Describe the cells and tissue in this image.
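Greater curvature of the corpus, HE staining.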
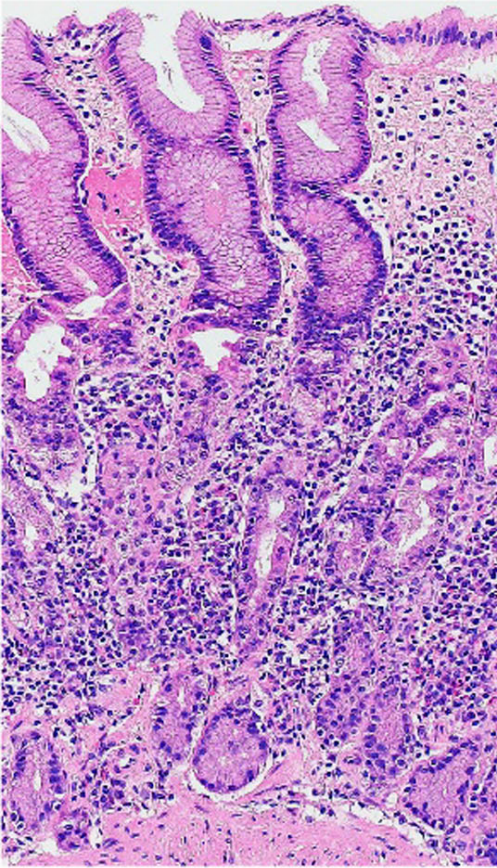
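This is gastric fundic gland mucosa with elongated foveolar pits lined by tall columnar mucous cells with pale apical mucin and basal nuclei. Below the pits, the glandular zone holds glands with pink cells, some swollen and bulging into the lumina. The lamina propria between the glands is crowded with small round dark nuclei of chronic inflammatory cells, more densely in the glandular zone than between the pits. Muscularis mucosae is seen as a pink band at the bottom.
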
